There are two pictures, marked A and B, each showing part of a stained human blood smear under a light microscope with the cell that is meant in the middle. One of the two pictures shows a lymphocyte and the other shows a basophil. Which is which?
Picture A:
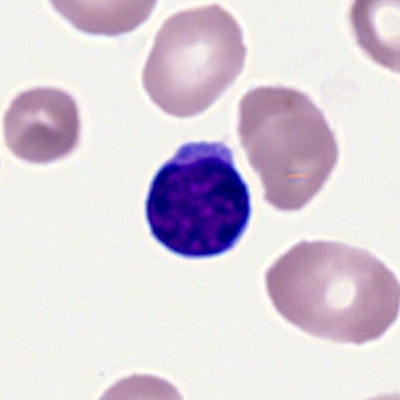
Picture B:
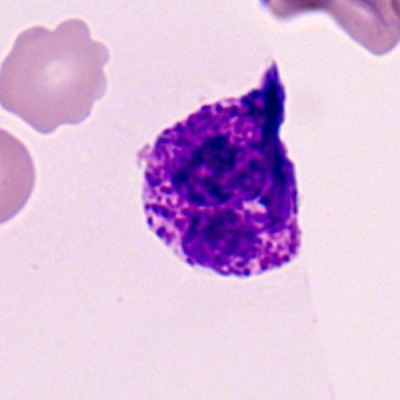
A: lymphocyte
B: basophil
